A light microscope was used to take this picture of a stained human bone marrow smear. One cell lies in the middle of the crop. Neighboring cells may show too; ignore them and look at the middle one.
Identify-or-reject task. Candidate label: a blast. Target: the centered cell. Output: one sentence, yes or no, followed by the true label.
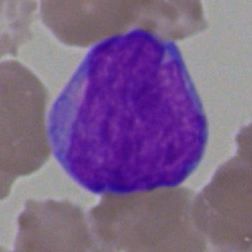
Yes, the cell in the middle is recognised as a blast.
